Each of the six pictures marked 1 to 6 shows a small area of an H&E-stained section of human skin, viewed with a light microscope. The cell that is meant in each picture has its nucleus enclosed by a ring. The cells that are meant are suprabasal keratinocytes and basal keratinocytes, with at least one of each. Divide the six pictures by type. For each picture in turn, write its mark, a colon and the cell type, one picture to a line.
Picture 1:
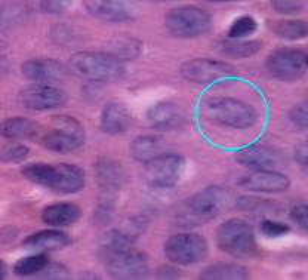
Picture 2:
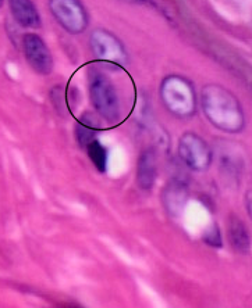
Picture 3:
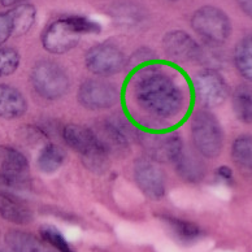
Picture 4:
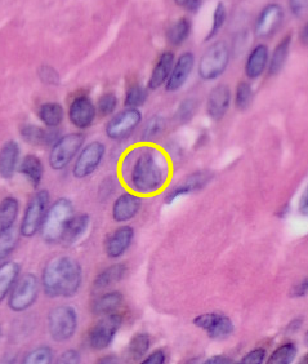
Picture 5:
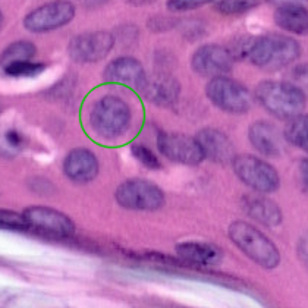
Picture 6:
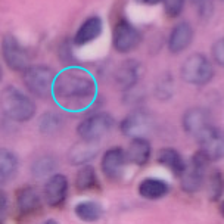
1: suprabasal keratinocyte
2: basal keratinocyte
3: basal keratinocyte
4: basal keratinocyte
5: suprabasal keratinocyte
6: basal keratinocyte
